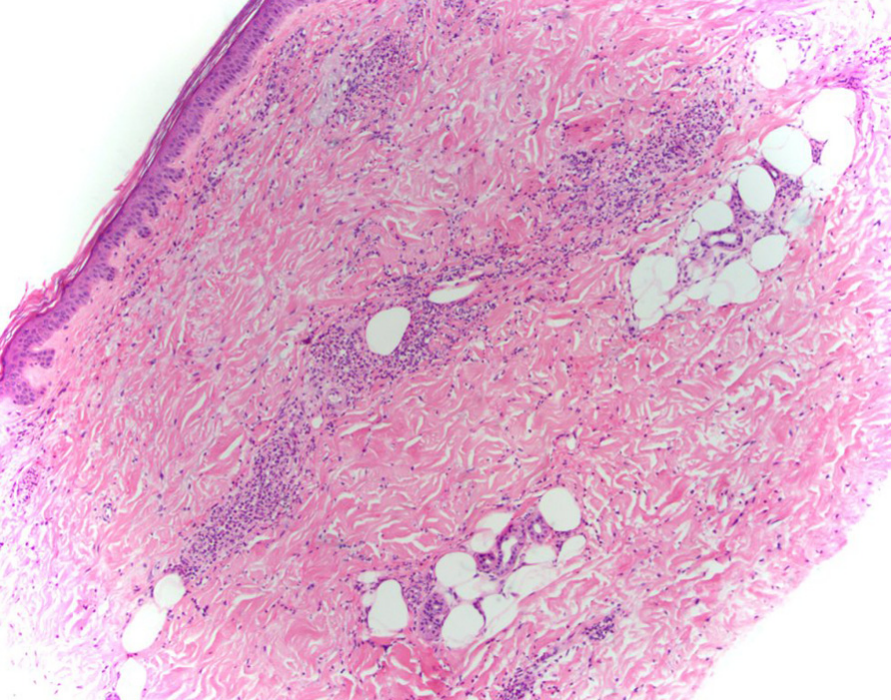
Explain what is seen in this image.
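This is a section of skin, with a thin purple epidermis along the upper left edge and a broad dermis of pale pink, wavy collagen bundles filling most of the field. Dense clusters of small, dark-purple inflammatory cell nuclei are spread through the dermis, from just below the epidermis down to its deep part. The clusters gather around small vessels and around small glandular tubules set among clear, round fat cells near the deep edge.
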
